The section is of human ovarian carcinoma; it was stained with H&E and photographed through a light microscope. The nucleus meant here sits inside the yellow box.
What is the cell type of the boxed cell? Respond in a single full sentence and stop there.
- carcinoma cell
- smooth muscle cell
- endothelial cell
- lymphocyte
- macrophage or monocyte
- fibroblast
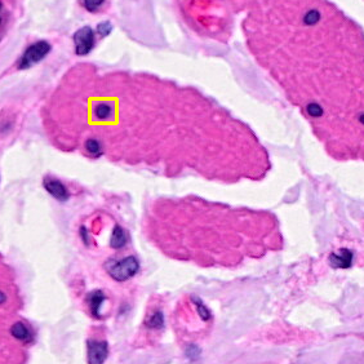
The cell type of the boxed cell is that of a smooth muscle cell.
